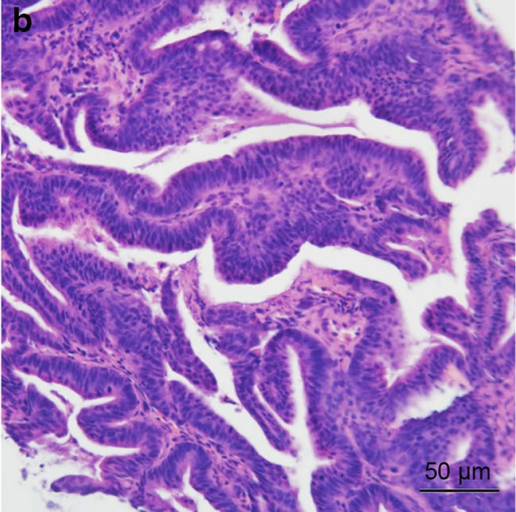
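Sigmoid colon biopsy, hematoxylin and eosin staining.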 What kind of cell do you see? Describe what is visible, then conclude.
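Atypical epithelial cells. The glands are lined by tall columnar cells. Their nuclei are elongated, dark and piled up in several layers.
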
